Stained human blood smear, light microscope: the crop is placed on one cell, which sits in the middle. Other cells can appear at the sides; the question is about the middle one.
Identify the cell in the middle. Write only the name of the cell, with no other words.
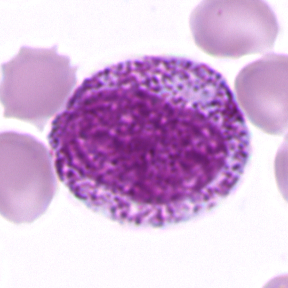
myelocyte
